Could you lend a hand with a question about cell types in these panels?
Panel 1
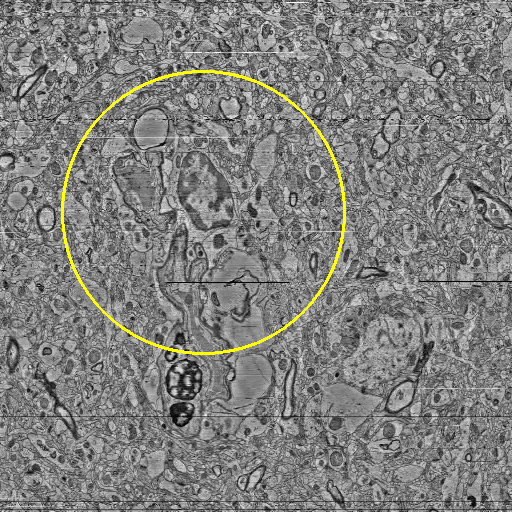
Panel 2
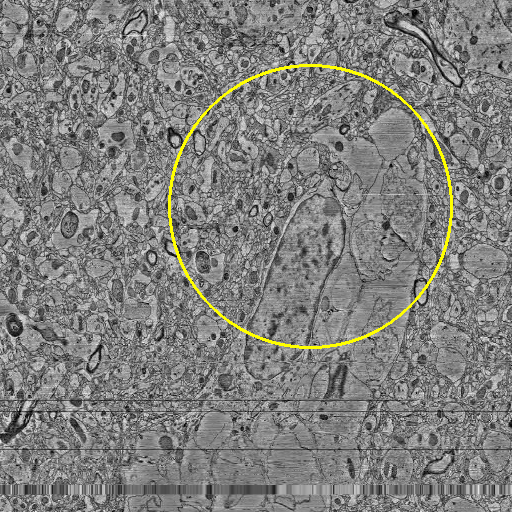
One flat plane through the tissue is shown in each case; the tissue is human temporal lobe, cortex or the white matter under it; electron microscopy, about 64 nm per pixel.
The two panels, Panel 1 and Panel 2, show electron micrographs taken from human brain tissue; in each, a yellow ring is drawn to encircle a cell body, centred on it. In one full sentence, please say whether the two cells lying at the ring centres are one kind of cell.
Yes, the cells at the ring centres in the two panels are one kind of cell.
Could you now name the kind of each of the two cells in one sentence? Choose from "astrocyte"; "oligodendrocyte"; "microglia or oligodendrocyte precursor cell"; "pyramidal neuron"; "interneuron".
Both cells are the same kind, each one being a microglial cell or oligodendrocyte precursor cell.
